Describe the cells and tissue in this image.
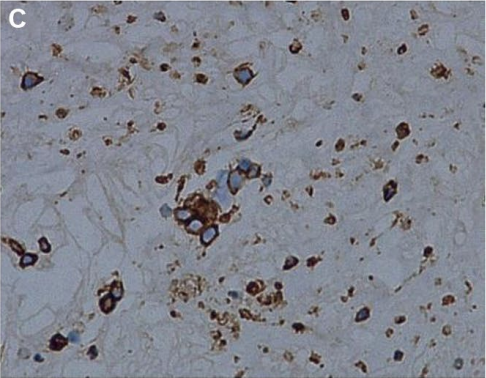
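Scattered small round cells lie in a pale, wispy fibrillar background, singly and in a small cluster near the centre. Many show a brown-stained rim around a bluish round nucleus, and brown granular debris is strewn between them.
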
